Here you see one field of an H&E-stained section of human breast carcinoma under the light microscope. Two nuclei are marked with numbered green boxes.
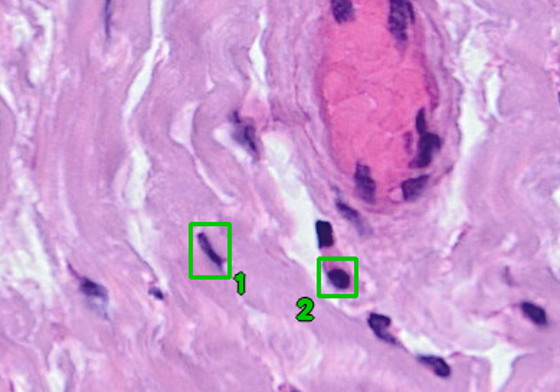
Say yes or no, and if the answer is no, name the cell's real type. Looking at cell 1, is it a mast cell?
No, it is a fibroblast.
